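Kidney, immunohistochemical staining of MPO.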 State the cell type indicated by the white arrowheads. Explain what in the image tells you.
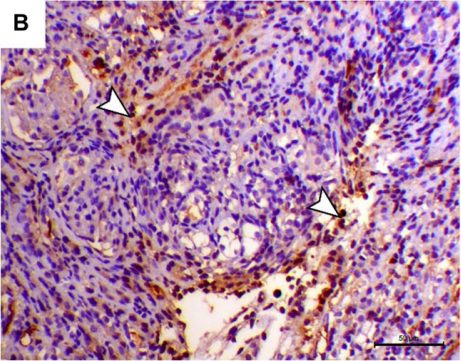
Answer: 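The arrowheads point to small, dark-nucleated cells lying between tubules. These cells are crowded densely in the widened interstitium. Brown staining lies over many of these interstitial cells.
Interstitial inflammatory cells.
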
